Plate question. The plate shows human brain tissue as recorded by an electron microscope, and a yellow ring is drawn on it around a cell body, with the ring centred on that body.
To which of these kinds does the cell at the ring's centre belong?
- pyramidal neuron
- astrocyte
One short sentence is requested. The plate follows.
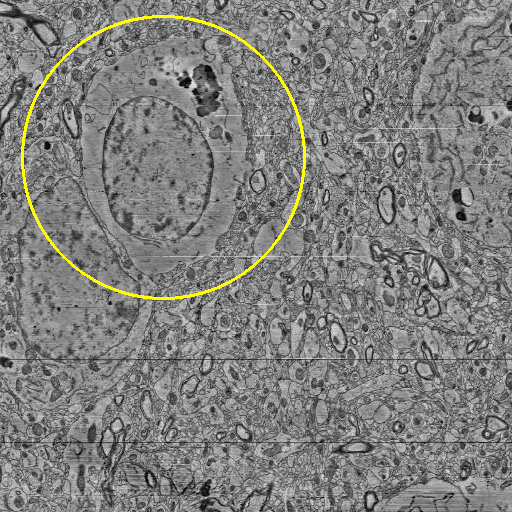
The cell at the ring's centre is an astrocyte.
